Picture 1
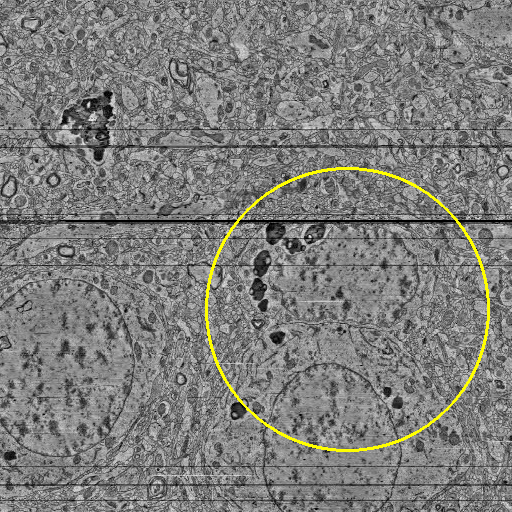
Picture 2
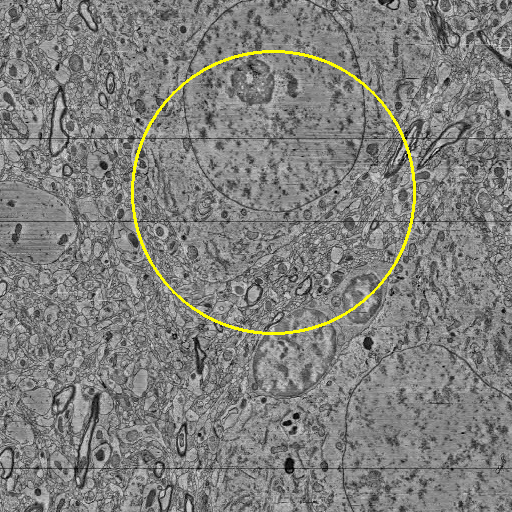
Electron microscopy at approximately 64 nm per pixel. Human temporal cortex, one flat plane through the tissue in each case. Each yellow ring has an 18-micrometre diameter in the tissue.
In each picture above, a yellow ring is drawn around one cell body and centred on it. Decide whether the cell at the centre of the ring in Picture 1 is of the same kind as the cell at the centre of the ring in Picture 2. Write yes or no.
no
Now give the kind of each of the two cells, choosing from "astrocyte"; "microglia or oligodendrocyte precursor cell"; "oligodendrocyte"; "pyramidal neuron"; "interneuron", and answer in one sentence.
The cell in the first picture is an interneuron, and the cell in the second is a pyramidal neuron.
